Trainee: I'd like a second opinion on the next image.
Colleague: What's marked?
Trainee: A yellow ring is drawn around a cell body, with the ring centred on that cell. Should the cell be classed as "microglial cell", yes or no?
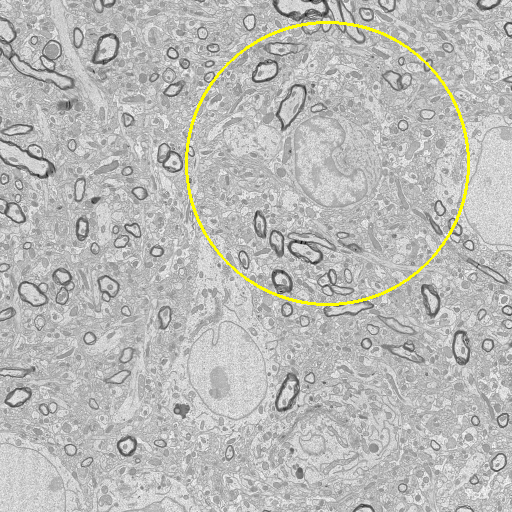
No, it should be classed as another kind.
